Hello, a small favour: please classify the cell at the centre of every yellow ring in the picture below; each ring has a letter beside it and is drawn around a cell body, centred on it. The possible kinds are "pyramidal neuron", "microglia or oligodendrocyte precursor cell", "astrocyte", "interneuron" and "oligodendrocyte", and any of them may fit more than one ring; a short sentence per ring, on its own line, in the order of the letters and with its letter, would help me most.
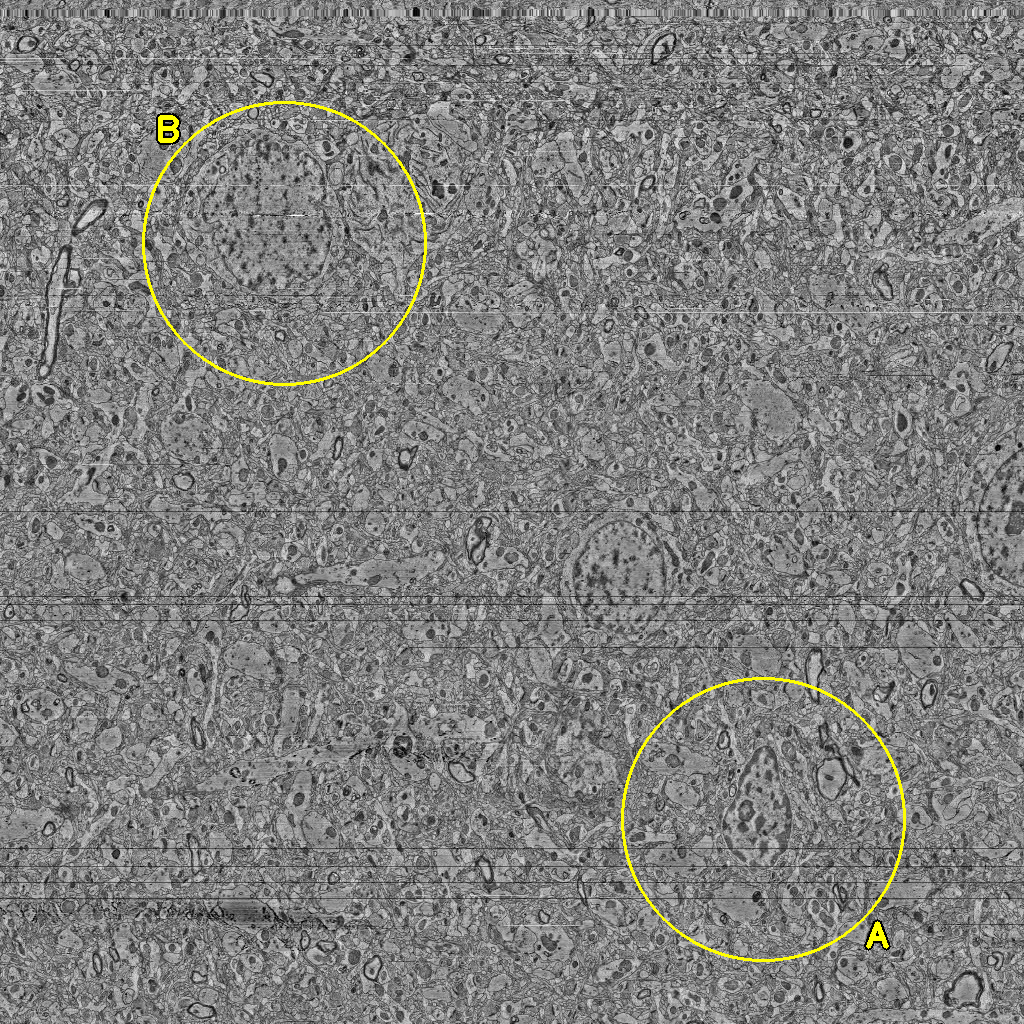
The centre of ring A falls on a microglial cell or oligodendrocyte precursor cell.
The centre of ring B falls on an interneuron.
